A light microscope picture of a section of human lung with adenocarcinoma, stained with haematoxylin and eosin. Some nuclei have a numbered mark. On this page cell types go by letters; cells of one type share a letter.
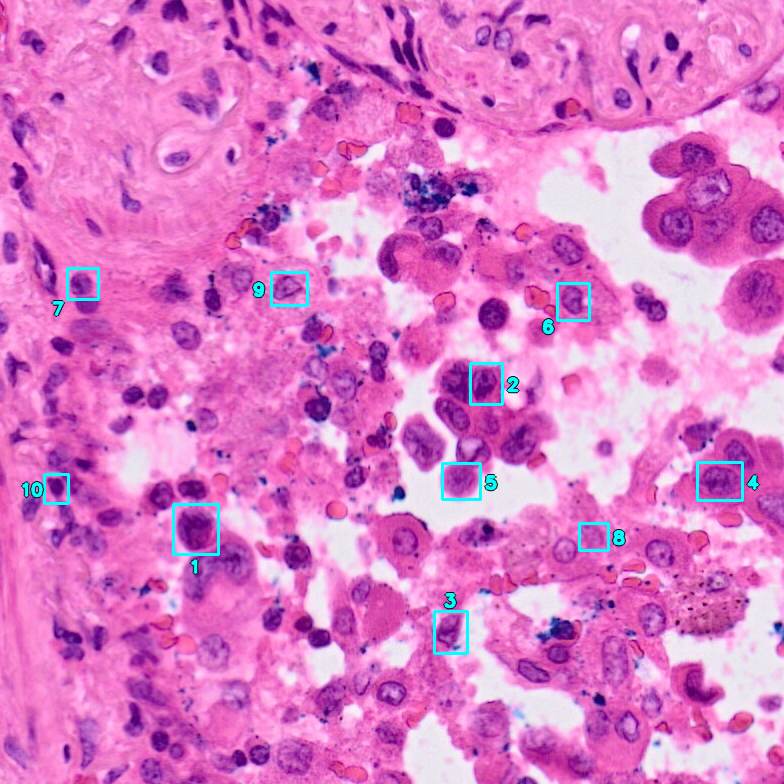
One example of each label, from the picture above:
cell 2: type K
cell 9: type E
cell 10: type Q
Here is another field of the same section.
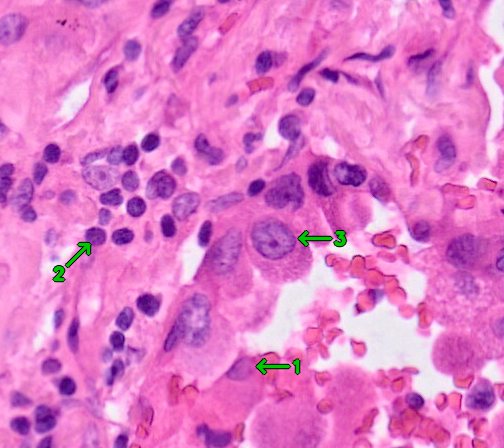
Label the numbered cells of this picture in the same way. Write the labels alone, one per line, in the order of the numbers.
type E
type Q
type K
